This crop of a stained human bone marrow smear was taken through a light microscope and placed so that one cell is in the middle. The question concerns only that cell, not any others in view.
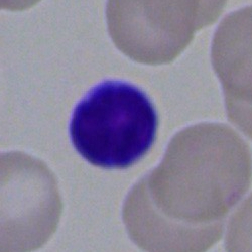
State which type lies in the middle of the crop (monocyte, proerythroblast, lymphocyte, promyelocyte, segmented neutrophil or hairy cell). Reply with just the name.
lymphocyte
